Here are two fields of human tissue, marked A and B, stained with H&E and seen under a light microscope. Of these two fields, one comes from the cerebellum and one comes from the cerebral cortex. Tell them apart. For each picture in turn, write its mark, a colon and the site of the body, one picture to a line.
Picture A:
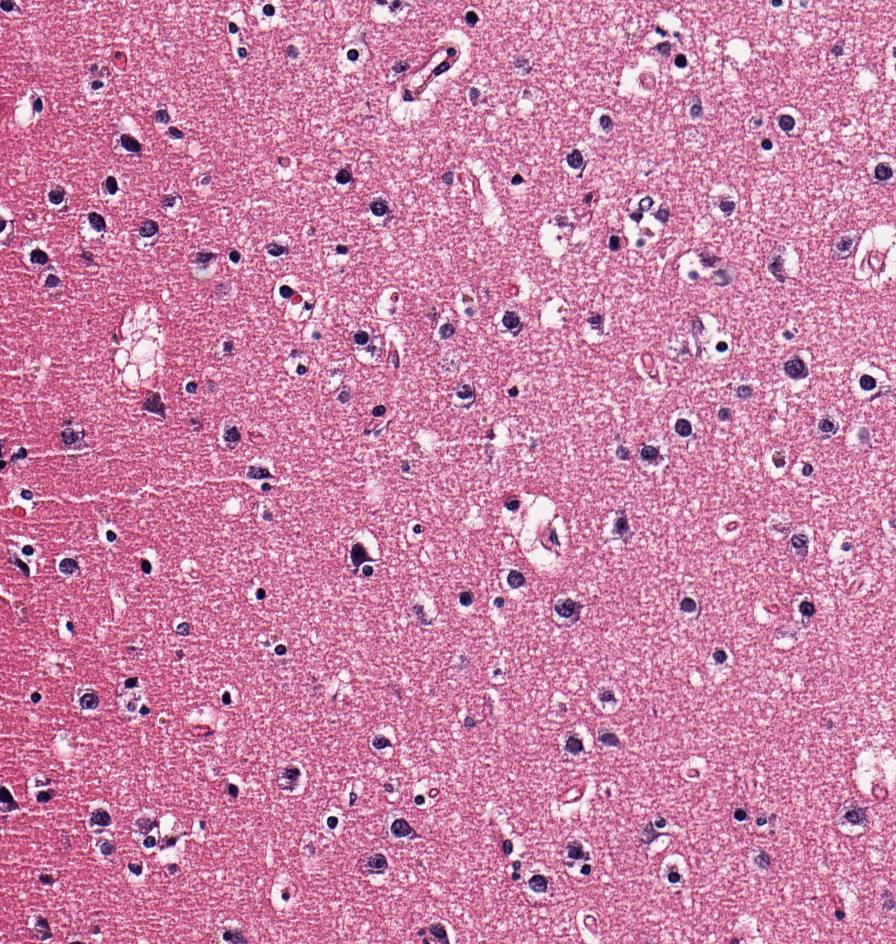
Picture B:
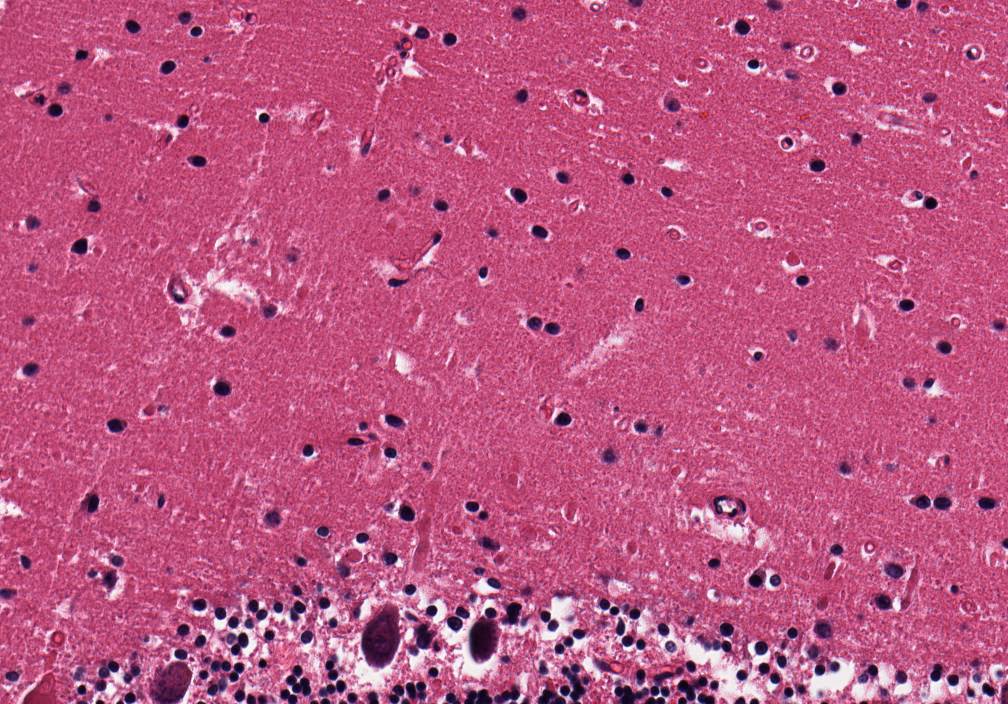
A: cerebral cortex
B: cerebellum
